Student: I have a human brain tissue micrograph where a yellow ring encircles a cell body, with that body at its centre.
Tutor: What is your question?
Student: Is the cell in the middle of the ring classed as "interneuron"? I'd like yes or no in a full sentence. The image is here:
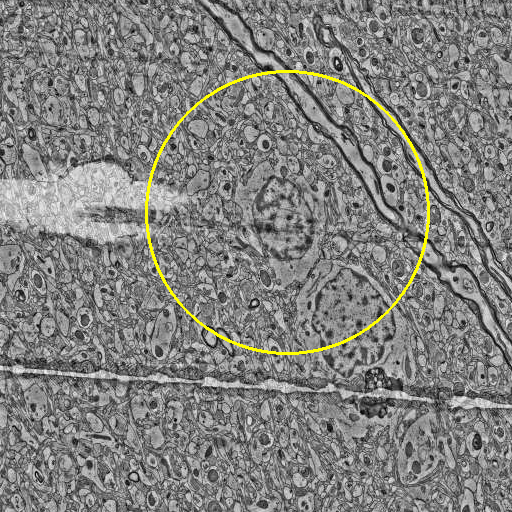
No, the ringed cell in the middle counts as another kind.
